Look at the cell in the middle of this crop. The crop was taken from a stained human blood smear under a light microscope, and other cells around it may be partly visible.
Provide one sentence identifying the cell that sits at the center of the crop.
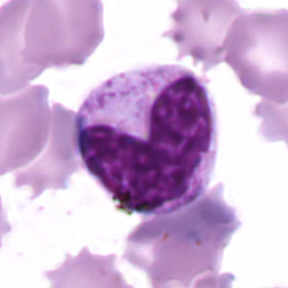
This crop is built around a band neutrophil at its centre.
